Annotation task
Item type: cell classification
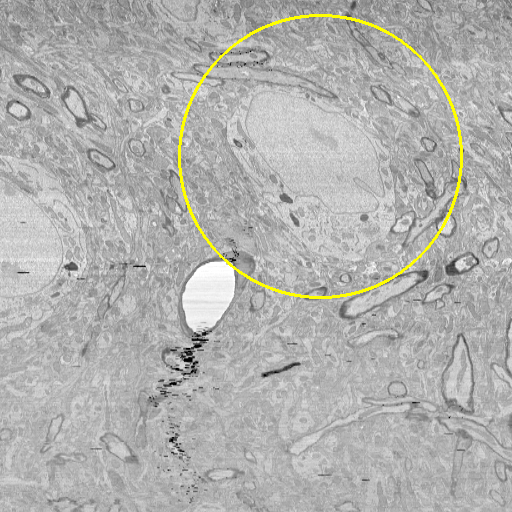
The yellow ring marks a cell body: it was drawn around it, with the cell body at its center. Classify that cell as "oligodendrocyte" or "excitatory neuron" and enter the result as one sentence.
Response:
The ring's center falls on an excitatory neuron.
